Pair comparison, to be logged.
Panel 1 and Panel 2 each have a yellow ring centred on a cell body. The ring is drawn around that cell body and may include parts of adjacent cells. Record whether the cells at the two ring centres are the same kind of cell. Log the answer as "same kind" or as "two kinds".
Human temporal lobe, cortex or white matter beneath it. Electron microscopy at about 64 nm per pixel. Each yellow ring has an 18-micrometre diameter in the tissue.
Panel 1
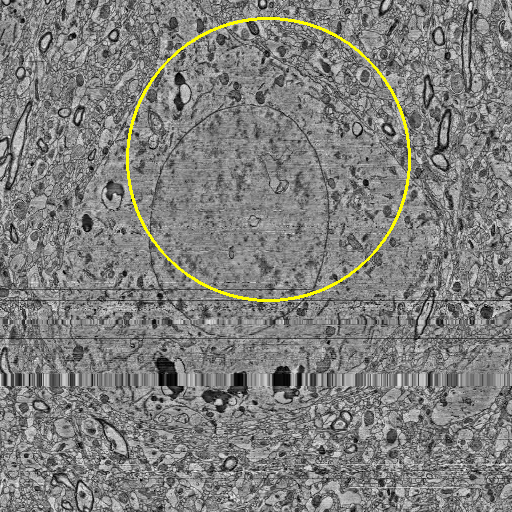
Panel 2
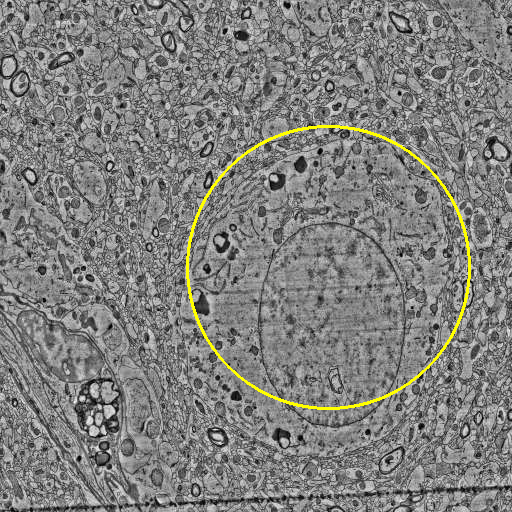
same kind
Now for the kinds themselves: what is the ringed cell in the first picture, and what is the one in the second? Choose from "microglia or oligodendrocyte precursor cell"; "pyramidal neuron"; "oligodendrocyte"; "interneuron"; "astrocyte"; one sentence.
Both rings mark a pyramidal neuron, one in each picture.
